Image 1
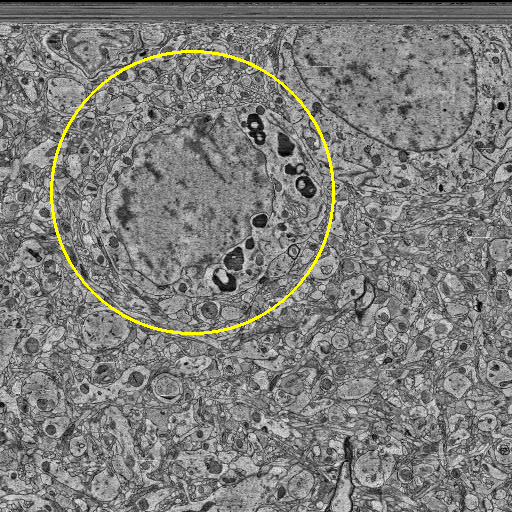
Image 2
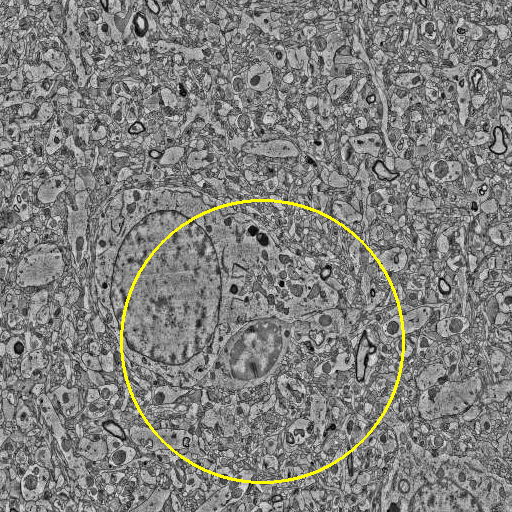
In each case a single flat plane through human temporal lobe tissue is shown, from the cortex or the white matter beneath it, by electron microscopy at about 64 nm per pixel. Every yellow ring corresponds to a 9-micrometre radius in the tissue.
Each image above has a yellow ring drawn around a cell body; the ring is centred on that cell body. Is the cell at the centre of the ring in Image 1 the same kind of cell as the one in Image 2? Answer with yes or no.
no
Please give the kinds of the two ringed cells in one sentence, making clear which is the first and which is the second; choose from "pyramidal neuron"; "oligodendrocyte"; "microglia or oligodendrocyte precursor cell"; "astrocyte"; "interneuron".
In the second picture the ringed cell is an oligodendrocyte; in the first it is an interneuron.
